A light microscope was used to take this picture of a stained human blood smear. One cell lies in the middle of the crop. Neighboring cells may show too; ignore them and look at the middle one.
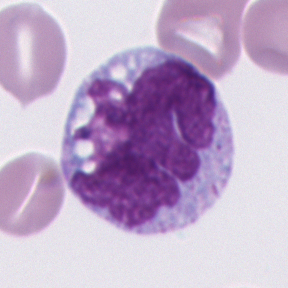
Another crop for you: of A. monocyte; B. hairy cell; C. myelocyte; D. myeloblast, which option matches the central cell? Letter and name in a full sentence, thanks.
The cell at the centre is a monocyte, and option A accordingly is correct.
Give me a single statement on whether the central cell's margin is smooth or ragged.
A smooth, projection-free outline is what this cell has.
